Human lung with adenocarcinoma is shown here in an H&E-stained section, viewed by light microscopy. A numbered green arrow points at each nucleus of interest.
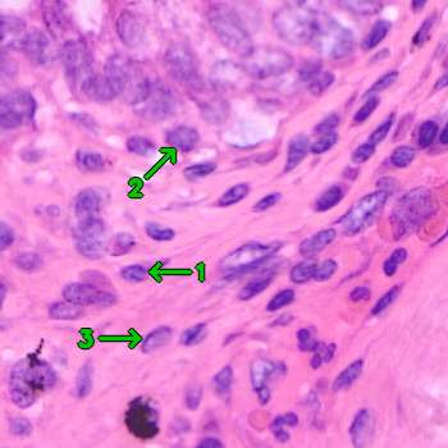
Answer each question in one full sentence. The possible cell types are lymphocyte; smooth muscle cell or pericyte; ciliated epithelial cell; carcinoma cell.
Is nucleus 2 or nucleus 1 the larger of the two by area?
The larger nucleus is 2, at roughly 1.5 times the area of 1.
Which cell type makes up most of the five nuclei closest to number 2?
Of the five nuclei nearest to number 2, most belong to ciliated epithelial cells.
